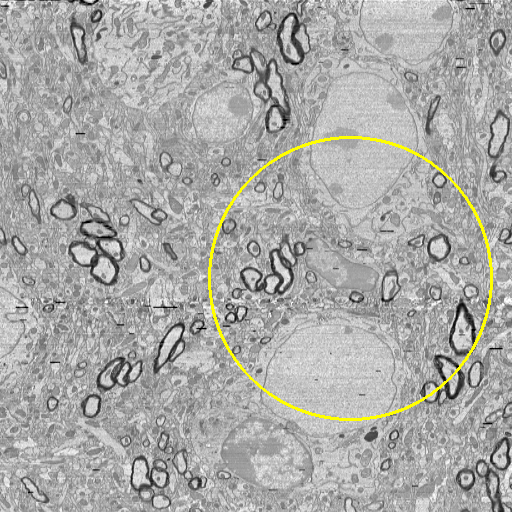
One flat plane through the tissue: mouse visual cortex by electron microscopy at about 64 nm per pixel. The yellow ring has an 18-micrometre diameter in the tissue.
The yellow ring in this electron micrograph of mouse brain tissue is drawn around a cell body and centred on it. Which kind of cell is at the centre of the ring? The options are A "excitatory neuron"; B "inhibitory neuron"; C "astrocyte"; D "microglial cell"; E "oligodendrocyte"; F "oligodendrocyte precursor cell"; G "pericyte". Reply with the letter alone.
D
